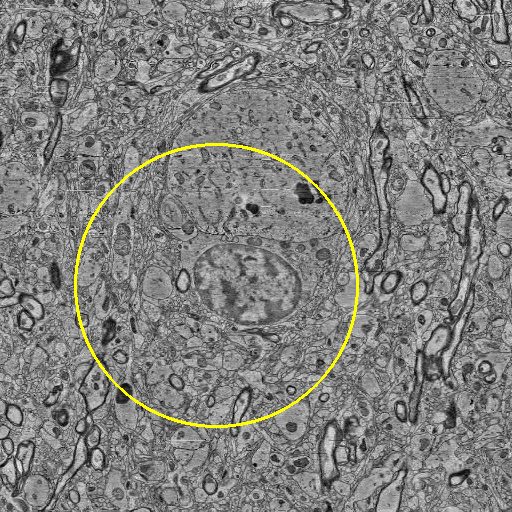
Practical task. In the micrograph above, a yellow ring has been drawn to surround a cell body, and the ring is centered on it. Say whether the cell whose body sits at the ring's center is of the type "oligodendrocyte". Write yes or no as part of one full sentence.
Yes, the cell at the center of the ring above is of the type asked about.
